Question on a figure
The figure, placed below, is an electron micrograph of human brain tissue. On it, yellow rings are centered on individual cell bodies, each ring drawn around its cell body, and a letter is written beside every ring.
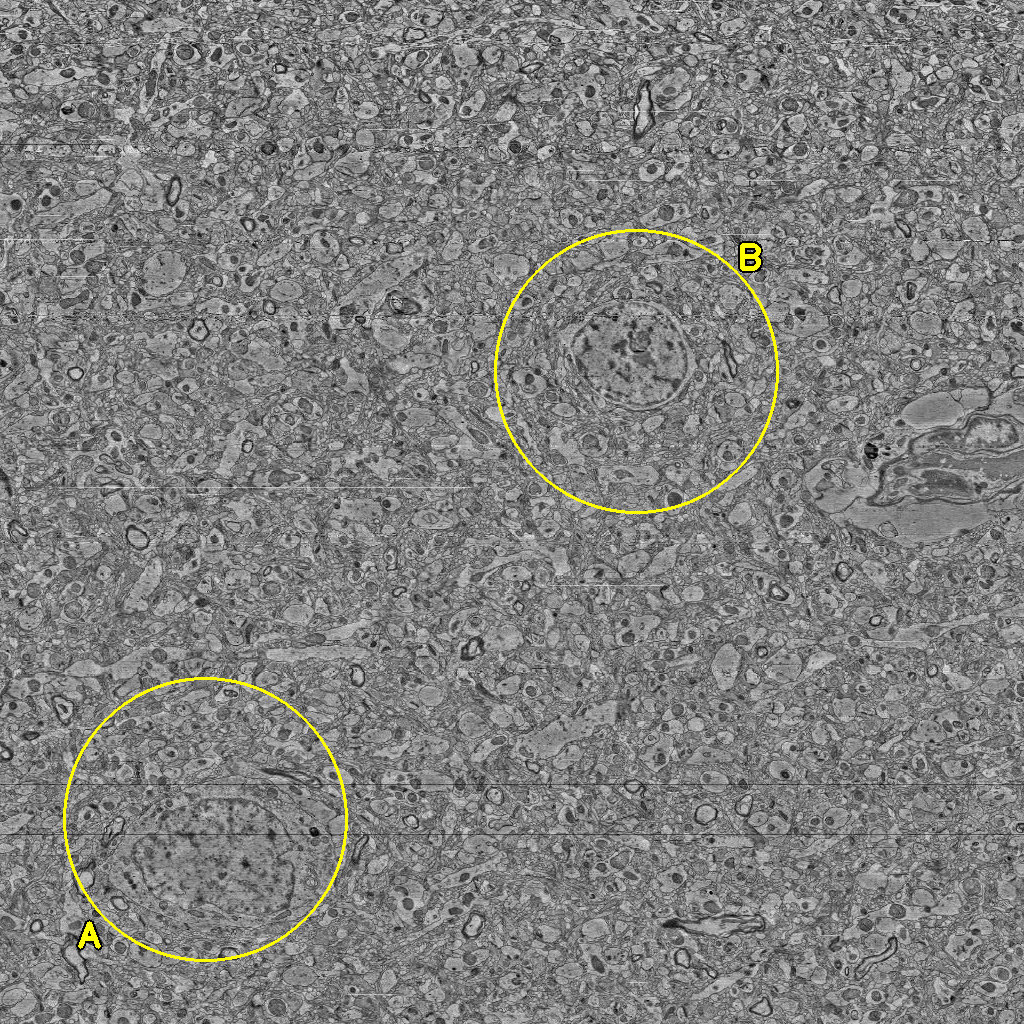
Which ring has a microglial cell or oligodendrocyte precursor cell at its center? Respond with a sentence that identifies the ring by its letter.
The ring marked B has it at its center.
